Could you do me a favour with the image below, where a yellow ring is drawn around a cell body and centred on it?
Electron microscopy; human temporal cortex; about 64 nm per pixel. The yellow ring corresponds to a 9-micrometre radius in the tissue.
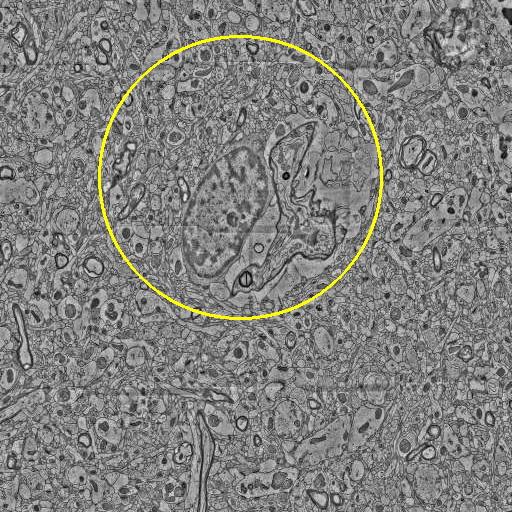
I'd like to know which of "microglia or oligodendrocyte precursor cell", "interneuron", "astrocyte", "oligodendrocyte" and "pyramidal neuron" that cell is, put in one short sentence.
The cell at the ring's centre is an oligodendrocyte.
